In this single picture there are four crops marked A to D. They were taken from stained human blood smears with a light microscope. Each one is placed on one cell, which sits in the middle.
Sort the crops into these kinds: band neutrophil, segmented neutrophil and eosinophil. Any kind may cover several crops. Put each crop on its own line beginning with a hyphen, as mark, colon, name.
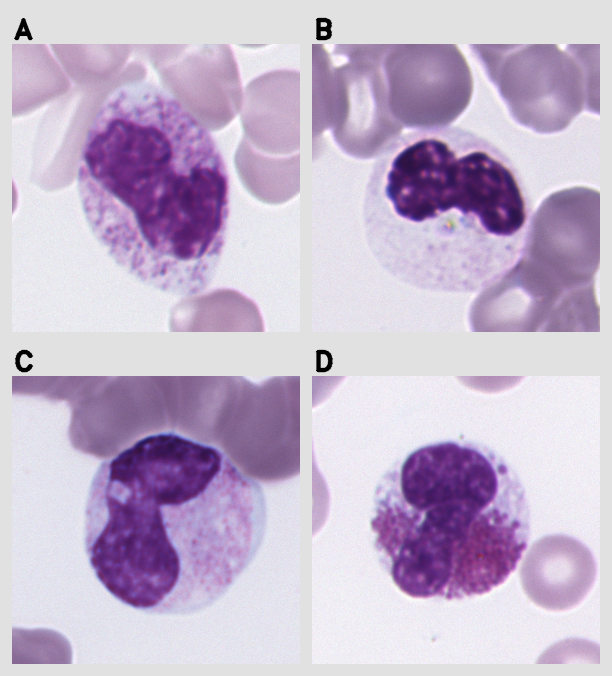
- A: band neutrophil
- B: band neutrophil
- C: band neutrophil
- D: eosinophil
